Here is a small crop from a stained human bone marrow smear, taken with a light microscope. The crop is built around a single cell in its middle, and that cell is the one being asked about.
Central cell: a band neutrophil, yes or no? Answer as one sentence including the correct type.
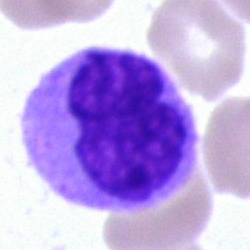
No, instead of a band neutrophil, the middle cell is a monocyte.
